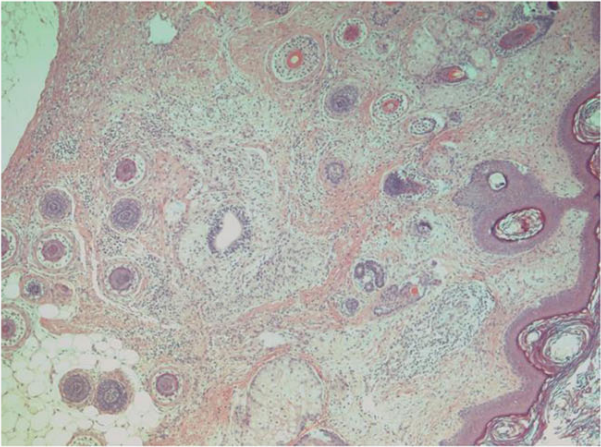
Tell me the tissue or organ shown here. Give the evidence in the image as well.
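Squamous epithelium. A stratified epithelial layer runs along the right edge of the panel. Layered keratin-like material lies on its surface. Hair follicles lie in the tissue beneath it.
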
